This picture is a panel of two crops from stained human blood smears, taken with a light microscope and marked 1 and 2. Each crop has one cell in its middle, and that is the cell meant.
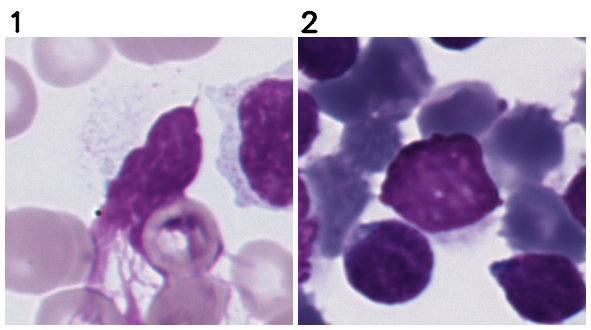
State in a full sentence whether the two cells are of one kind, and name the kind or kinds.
No, cell 1 is a smudge cell, and cell 2 is a myeloblast.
